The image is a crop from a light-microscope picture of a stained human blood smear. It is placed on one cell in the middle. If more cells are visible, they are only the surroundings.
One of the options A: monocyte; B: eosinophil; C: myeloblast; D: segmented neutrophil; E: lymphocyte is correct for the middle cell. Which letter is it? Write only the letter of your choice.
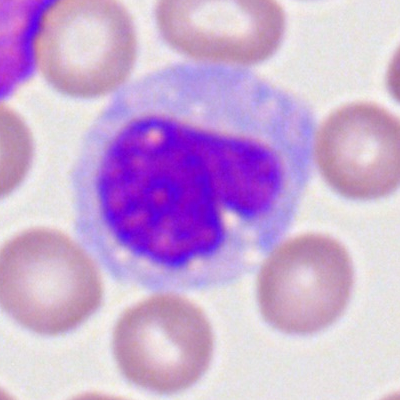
A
